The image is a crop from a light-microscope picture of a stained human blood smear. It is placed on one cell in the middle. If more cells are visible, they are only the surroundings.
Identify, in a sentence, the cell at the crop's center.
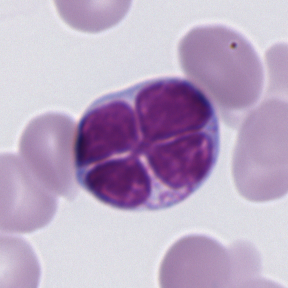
Here the cell in the middle is a large granular lymphocyte.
